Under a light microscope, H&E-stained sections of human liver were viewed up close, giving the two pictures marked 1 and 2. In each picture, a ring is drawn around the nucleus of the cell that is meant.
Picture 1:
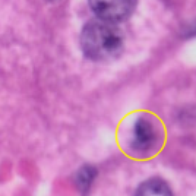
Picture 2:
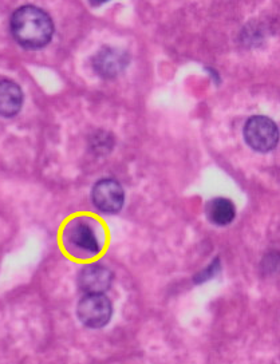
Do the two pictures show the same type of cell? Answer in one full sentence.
No, picture 1 shows an endothelial cell and picture 2 shows a “fibroblast or stellate cell”.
